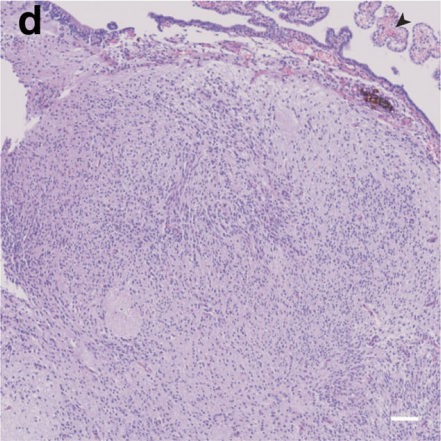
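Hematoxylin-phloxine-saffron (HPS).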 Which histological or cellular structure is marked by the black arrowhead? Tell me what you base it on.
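The arrowhead points to small rounded papillary fronds floating in a space at top right. The fronds are covered by a single layer of cuboidal cells around a vascular core.
Answer: choroid plexuses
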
